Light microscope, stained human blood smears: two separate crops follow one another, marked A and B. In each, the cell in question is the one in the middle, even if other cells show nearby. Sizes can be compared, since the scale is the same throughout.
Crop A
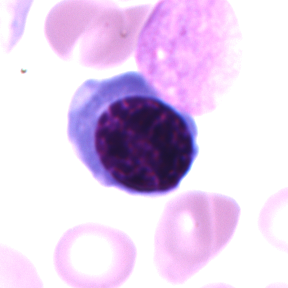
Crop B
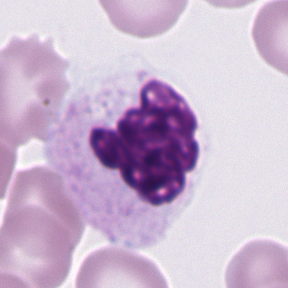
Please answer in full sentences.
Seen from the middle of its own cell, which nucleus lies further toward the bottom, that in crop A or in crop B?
It is the nucleus in crop A that lies further toward the bottom of its cell.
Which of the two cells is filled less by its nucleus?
Of the two, the nucleus in crop B leaves more room for cytoplasm.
